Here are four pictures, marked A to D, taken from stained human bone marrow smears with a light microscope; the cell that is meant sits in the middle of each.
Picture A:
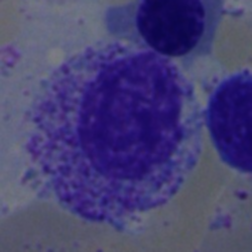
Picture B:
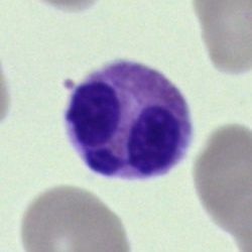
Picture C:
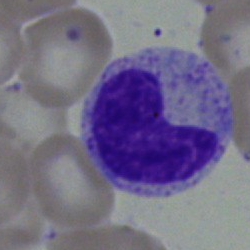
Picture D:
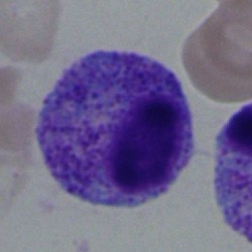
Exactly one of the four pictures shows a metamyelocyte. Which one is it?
C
